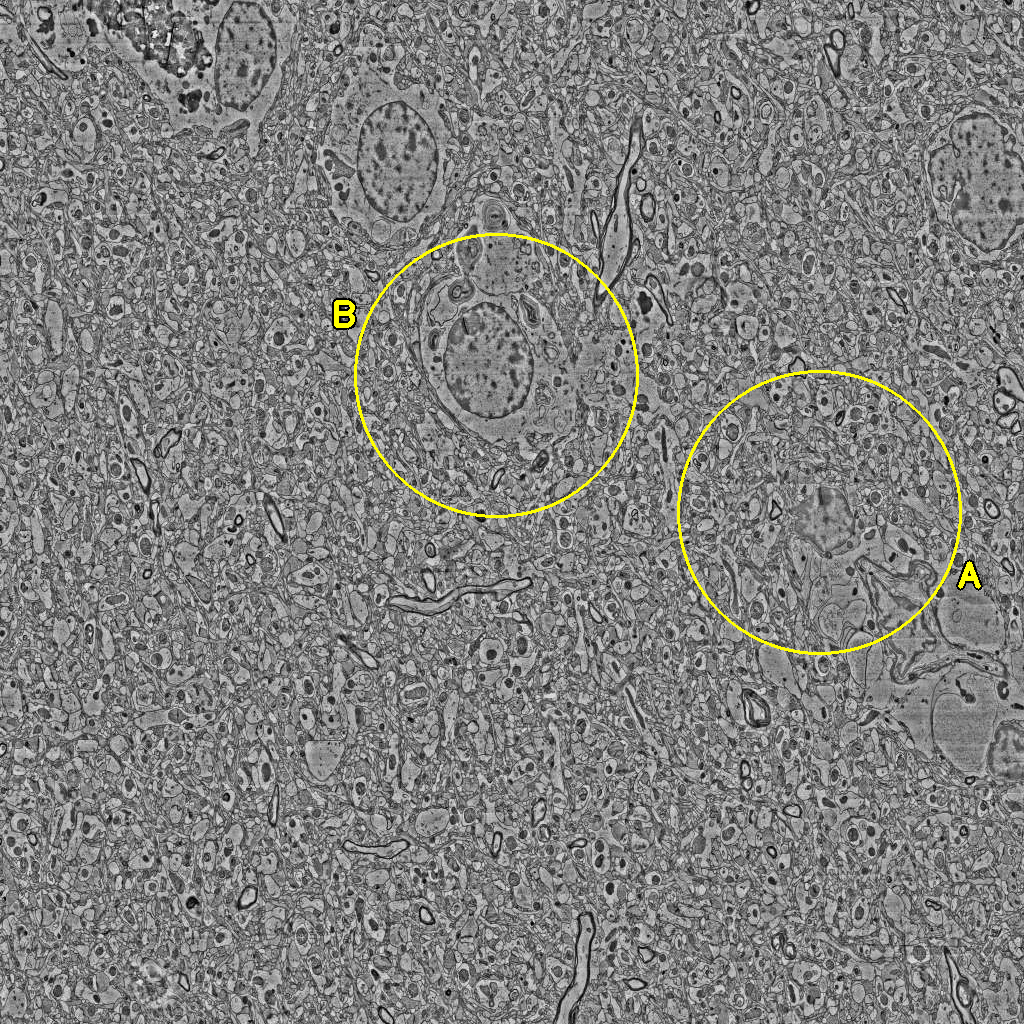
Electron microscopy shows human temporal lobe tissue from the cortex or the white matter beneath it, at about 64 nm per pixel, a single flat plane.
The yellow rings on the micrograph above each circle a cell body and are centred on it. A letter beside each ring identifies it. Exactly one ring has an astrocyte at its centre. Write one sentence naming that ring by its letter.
Ring B is the one.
